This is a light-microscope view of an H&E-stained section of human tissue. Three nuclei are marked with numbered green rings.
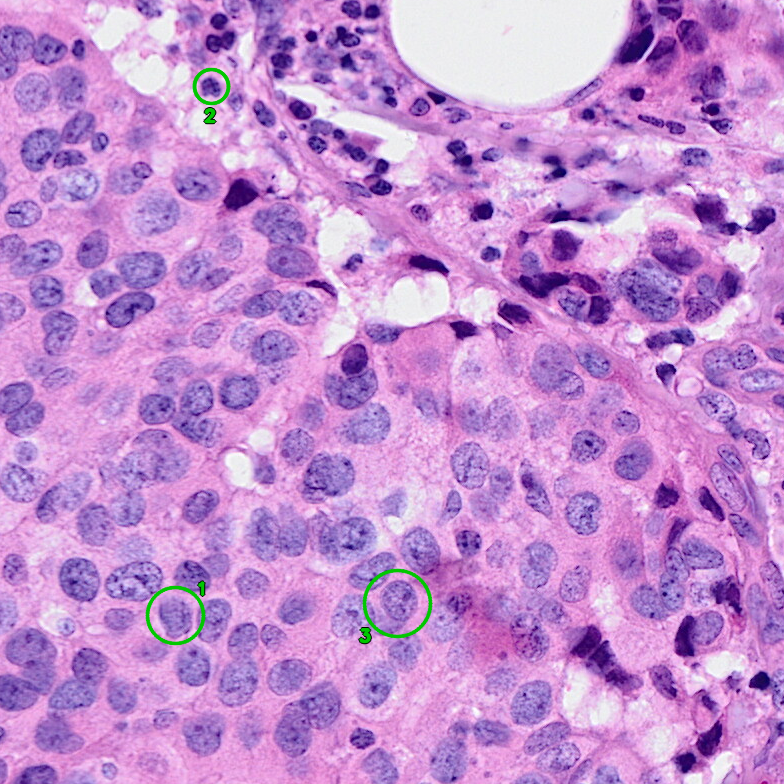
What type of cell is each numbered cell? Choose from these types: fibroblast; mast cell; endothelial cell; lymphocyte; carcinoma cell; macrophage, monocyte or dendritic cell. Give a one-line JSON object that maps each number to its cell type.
{"1": "carcinoma cell", "2": "lymphocyte", "3": "carcinoma cell"}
